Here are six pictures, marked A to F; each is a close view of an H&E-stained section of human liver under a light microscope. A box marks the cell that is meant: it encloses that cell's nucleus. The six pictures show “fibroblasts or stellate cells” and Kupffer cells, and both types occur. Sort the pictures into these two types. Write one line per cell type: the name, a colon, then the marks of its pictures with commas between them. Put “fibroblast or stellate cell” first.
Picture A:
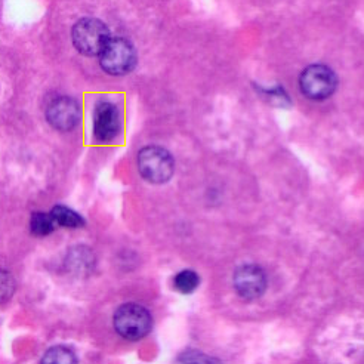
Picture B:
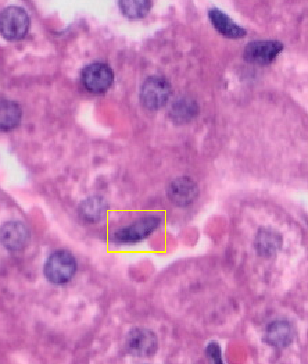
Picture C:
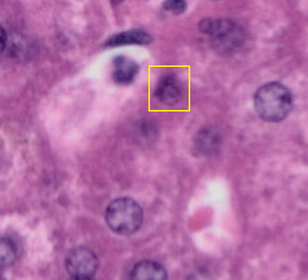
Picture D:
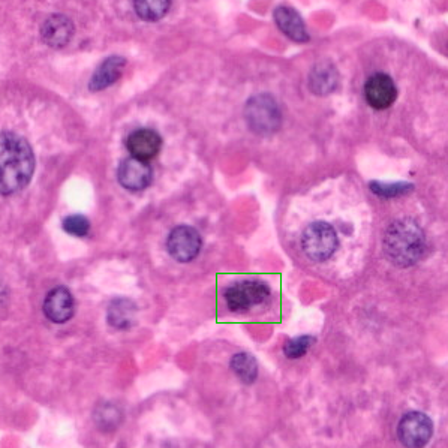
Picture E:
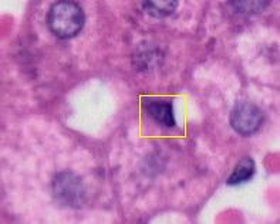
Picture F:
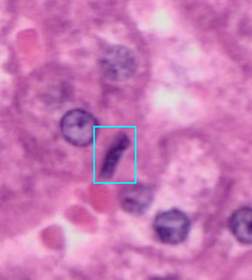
fibroblast or stellate cell: C, E, F
Kupffer cell: A, B, D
